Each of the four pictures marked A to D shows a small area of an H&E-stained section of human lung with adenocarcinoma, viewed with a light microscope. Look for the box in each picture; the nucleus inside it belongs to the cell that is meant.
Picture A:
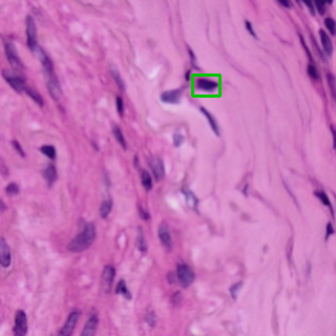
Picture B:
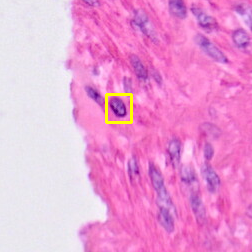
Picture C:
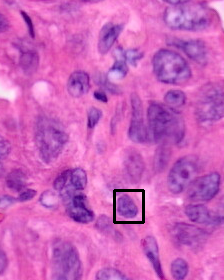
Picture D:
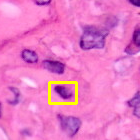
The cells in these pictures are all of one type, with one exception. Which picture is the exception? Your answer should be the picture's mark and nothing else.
C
